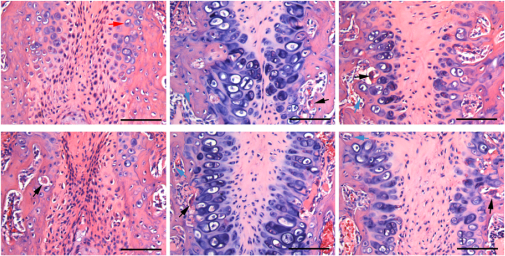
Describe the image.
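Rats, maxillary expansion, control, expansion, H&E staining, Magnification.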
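These are sections of the palatal suture stained pink and purple, each showing a central band of connective tissue between two sides of cartilage and bone. On either side lie cartilage cells, rounded or oval, sitting singly or in short rows within clear lacunae in a purple-staining matrix. In several images these cartilage zones are broad and strongly purple, with many enlarged rounded cells arranged in columns. At the outer edges, pink bone with irregular spaces is seen, and cells lie along these bone surfaces.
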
